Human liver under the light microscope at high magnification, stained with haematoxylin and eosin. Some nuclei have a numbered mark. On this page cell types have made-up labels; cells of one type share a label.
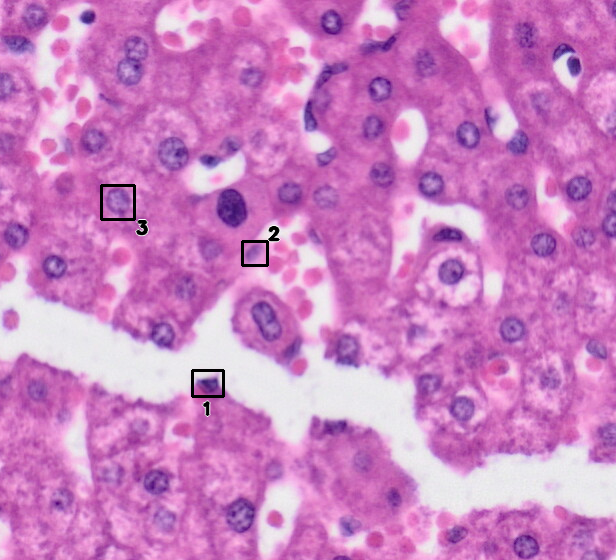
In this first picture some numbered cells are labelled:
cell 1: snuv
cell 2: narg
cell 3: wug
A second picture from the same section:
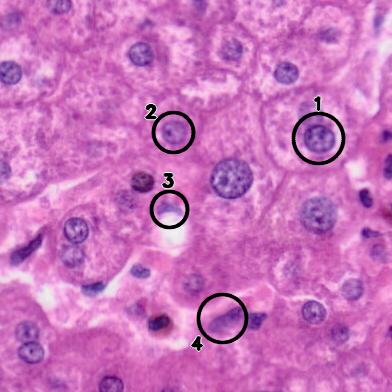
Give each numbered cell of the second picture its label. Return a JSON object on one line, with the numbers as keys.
{"1": "wug", "2": "wug", "3": "snuv", "4": "narg"}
